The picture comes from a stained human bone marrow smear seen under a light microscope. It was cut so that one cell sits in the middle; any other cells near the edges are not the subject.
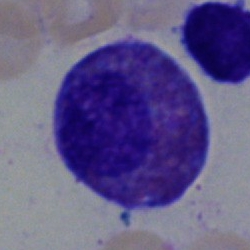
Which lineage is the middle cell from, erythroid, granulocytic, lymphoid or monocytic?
granulocytic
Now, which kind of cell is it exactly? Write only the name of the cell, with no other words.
eosinophil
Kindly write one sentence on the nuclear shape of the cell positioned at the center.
If you check the nucleus, you will find one compact mass, round, oval or kidney-shaped.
